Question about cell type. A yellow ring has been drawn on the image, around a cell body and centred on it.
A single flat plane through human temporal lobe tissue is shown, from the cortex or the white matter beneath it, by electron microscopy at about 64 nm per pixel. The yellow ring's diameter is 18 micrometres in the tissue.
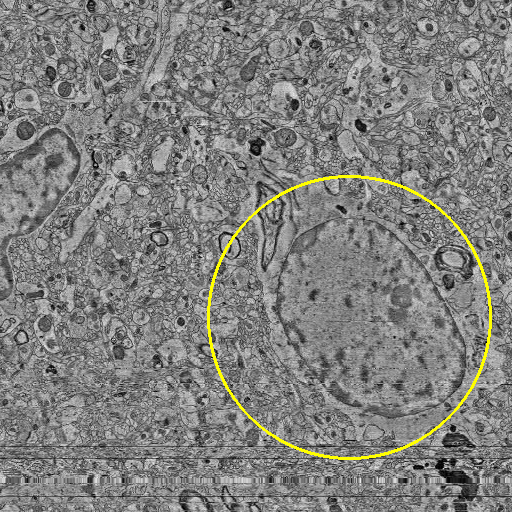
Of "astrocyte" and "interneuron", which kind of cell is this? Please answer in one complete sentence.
At the centre of the ring lies an astrocyte.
